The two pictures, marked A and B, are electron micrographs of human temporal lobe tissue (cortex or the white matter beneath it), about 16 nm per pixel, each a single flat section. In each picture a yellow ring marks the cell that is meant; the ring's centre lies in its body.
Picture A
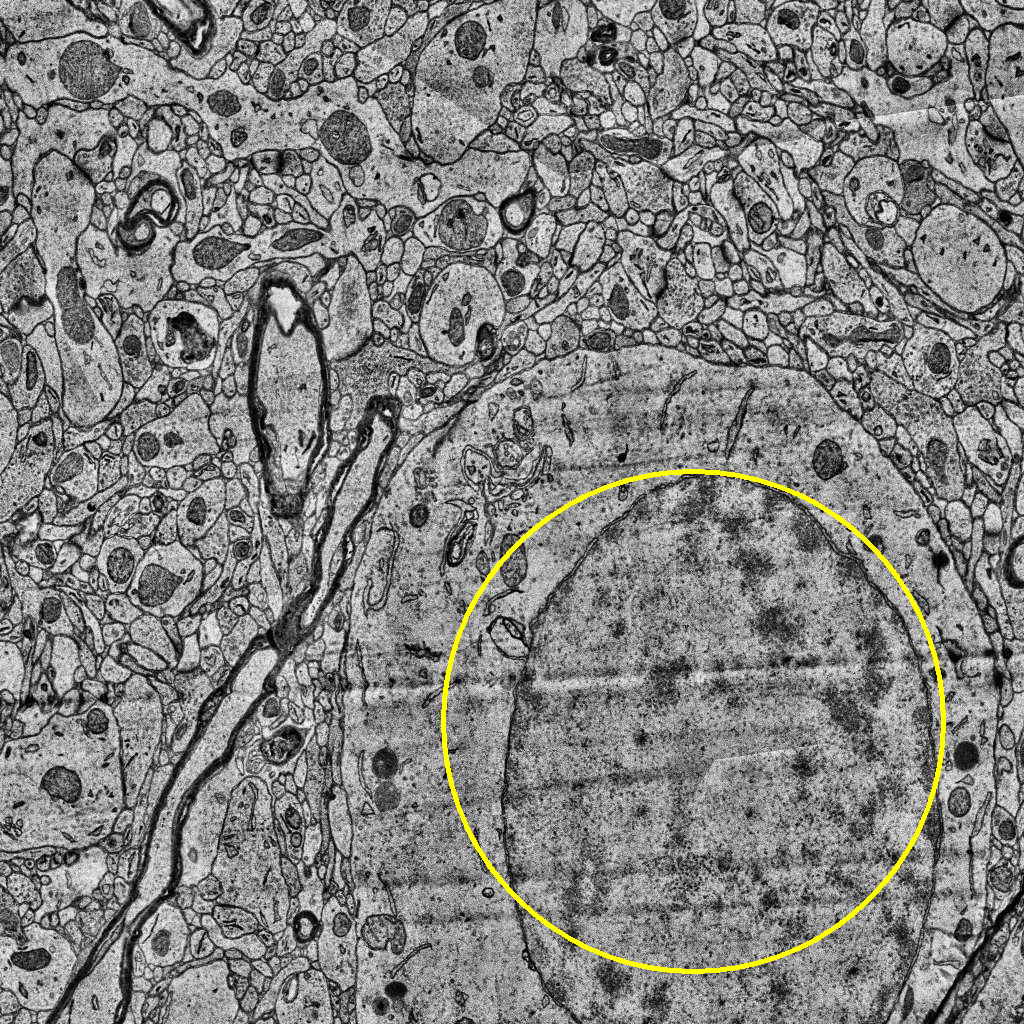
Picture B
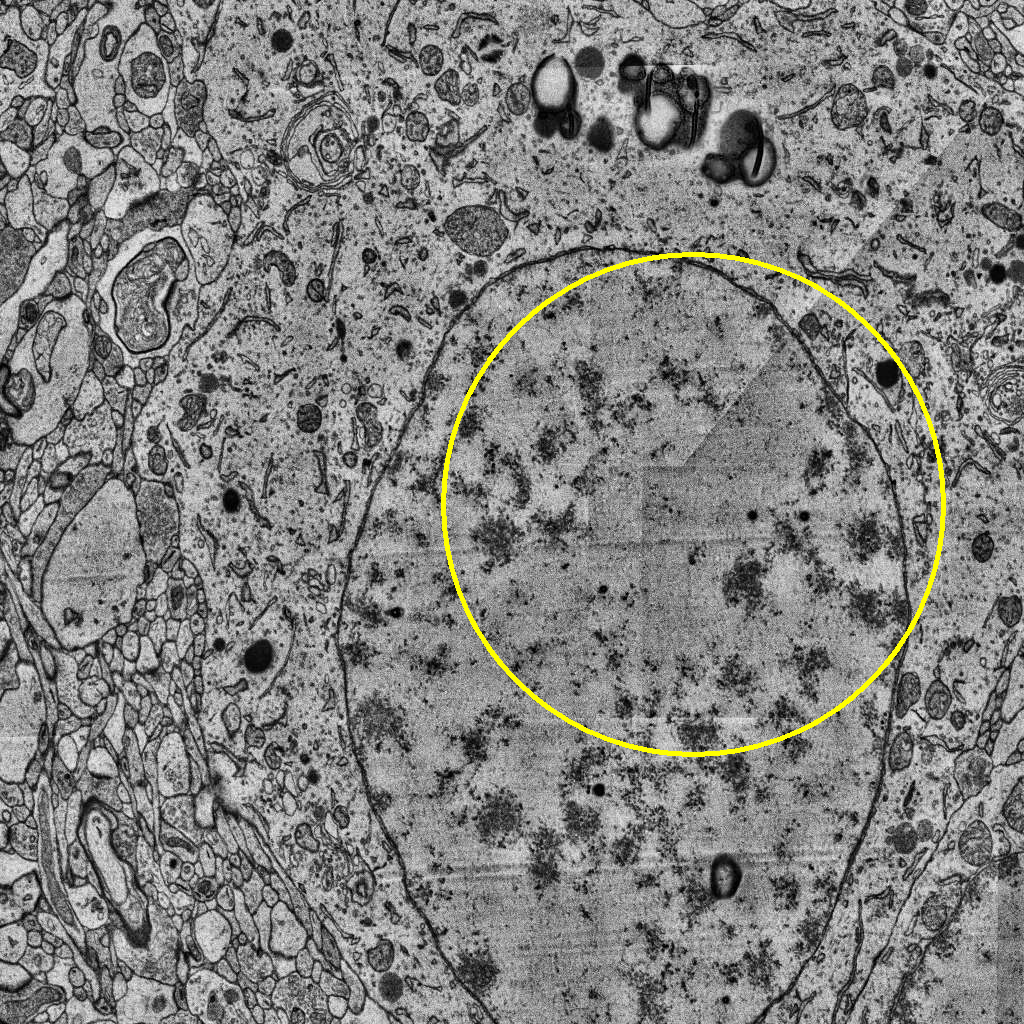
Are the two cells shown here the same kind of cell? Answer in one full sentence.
Yes, both cells are pyramidal neurons.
